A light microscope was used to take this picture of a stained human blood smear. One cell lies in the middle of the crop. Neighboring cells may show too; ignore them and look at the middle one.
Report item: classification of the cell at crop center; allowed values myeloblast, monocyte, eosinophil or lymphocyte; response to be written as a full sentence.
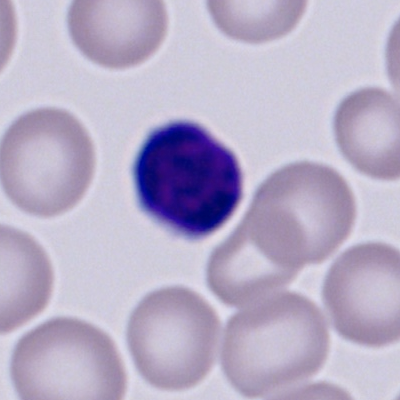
The central cell in this smear crop is a lymphocyte.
